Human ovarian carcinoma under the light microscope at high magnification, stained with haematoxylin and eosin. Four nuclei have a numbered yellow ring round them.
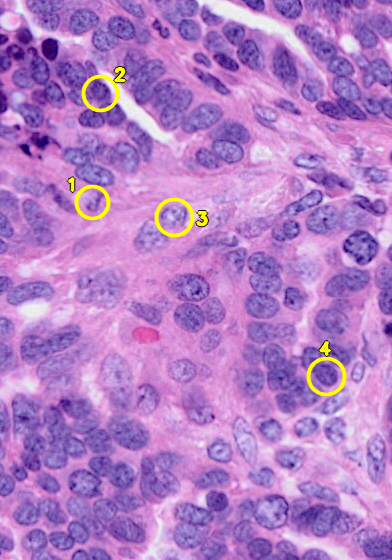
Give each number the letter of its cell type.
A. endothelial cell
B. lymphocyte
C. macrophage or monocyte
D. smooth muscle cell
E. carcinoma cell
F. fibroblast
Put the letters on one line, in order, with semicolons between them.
F; E; F; E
